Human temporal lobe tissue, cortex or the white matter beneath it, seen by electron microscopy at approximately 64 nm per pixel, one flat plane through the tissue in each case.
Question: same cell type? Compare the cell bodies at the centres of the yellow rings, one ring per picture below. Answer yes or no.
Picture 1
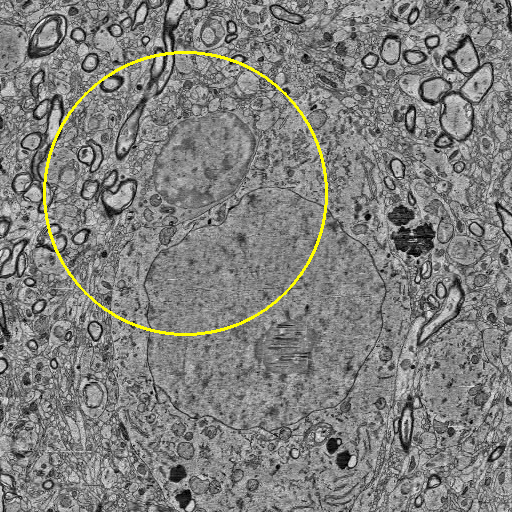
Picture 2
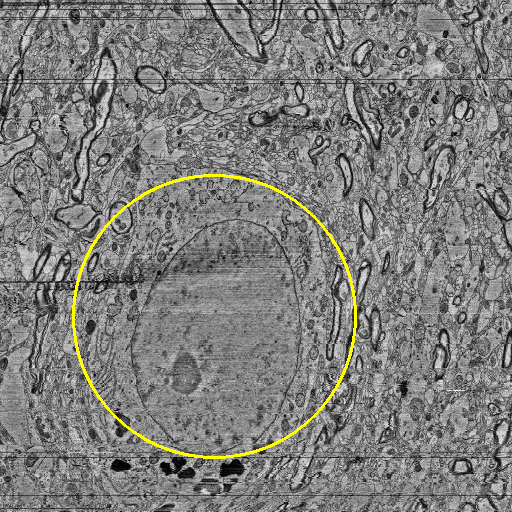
no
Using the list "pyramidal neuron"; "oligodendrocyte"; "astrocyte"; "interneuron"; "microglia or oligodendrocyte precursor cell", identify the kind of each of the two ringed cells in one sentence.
The first is an oligodendrocyte and the second is a pyramidal neuron.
